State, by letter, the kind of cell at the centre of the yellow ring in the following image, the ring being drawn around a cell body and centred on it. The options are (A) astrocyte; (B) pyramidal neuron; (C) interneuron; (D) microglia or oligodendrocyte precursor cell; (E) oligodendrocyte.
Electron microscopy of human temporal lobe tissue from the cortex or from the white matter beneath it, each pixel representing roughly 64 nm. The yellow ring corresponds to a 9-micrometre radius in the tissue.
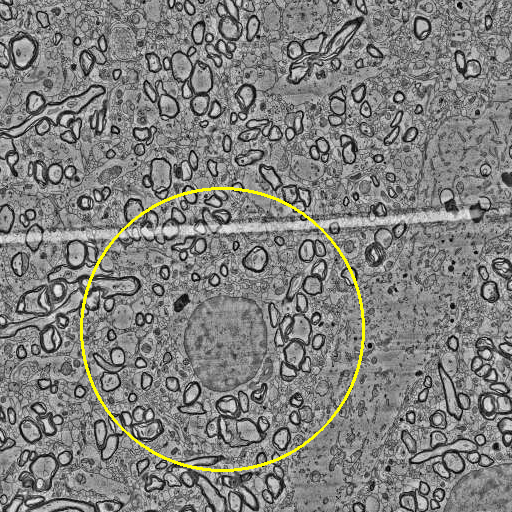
E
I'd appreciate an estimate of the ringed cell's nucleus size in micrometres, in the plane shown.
Roughly 6 by 5 micrometres in this plane, for the nucleus of the ringed cell.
